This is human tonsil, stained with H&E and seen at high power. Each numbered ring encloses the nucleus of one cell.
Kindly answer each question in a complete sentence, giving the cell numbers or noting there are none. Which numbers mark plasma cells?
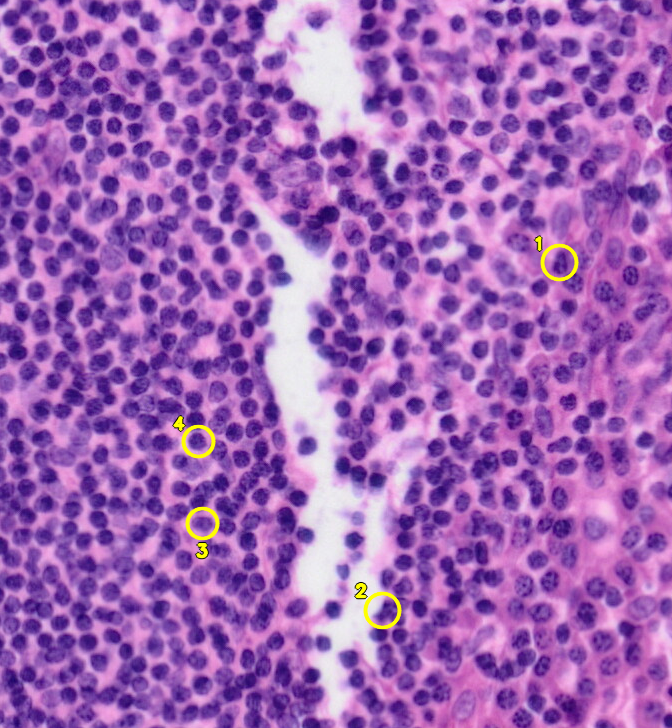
Cell 1 alone, of all the numbered cells, is a plasma cell.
